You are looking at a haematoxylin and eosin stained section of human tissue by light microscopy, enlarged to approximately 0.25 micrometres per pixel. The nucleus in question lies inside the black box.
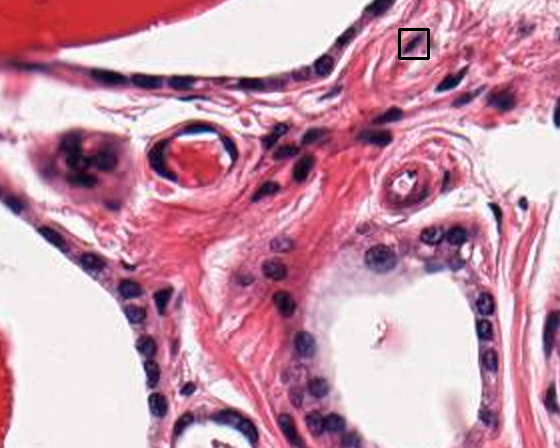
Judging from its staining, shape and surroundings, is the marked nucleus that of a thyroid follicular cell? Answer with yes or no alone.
no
